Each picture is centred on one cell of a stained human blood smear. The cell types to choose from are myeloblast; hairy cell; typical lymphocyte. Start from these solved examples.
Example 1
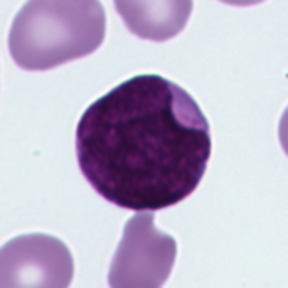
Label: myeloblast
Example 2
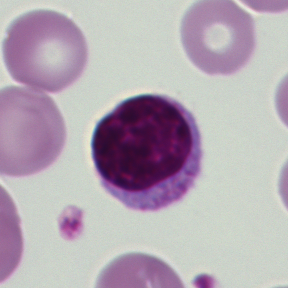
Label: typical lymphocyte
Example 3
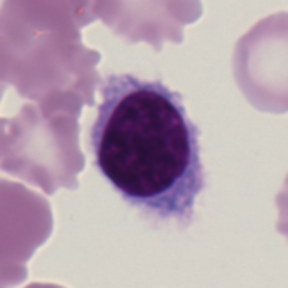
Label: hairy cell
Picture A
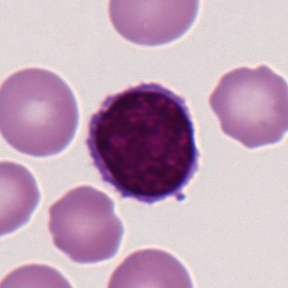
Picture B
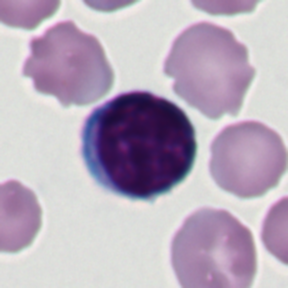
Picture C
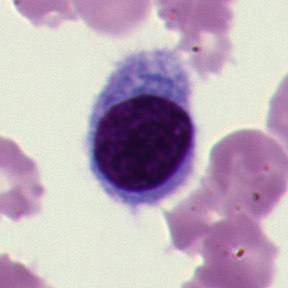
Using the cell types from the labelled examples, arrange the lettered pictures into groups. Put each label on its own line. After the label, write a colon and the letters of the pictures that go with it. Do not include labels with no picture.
hairy cell: C
typical lymphocyte: A, B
